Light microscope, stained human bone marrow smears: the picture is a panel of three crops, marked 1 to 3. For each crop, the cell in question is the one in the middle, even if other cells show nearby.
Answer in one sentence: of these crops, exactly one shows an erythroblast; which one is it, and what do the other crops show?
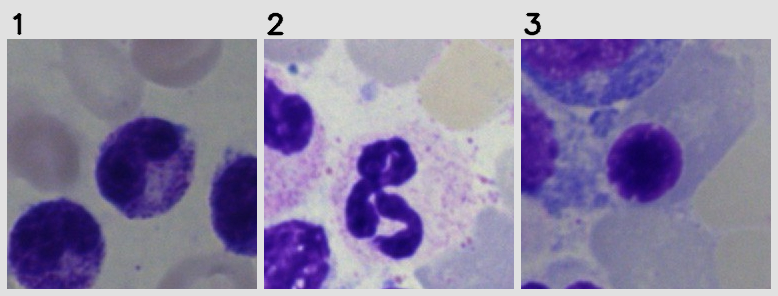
Crop 3 corresponds to an erythroblast, whereas crop 1 is a band neutrophil and crop 2 is a segmented neutrophil.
